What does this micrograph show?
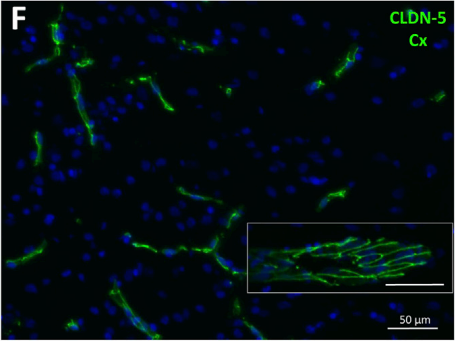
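In the cortical tissue, scattered blue nuclei lie in a dark background, and among them short green segments trace thin tubular profiles, some straight, some branched, cut at various angles. These are small vessels, with green lines running along their walls where the endothelial cells meet. In the boxed inset a larger vessel is seen lengthwise, its wall marked by many long, parallel, slightly wavy green strands, the junctions between its elongated lining cells. The tissue between the vessels shows no green.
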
